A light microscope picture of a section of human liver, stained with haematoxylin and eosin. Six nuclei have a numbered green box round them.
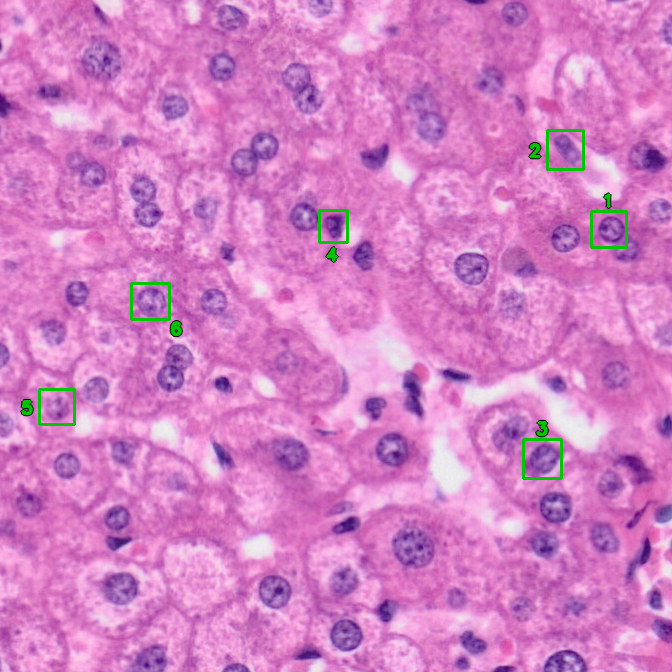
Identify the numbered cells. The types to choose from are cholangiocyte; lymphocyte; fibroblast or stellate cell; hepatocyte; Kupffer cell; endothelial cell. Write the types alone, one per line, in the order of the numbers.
hepatocyte
Kupffer cell
hepatocyte
fibroblast or stellate cell
hepatocyte
hepatocyte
